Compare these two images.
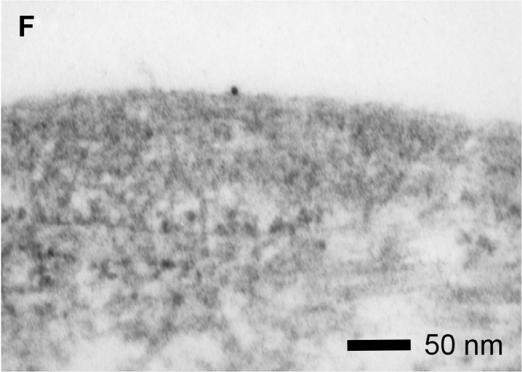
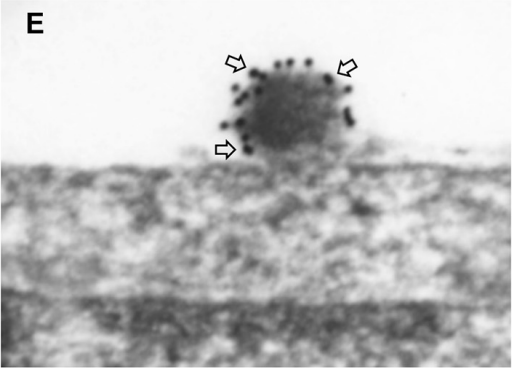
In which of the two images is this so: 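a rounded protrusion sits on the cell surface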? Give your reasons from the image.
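First image: the cell surface is a smooth edge with nothing bulging from it. Second image: a dense rounded body ringed with dark particles rises from the cell surface.
Conclusion: the second image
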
